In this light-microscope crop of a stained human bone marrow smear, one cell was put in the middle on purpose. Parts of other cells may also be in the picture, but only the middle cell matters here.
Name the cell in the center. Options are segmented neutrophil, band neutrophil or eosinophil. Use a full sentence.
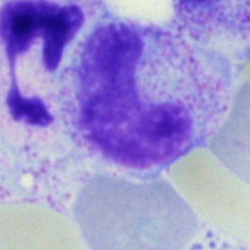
The cell shown in the center of this light-microscope crop is a band neutrophil.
